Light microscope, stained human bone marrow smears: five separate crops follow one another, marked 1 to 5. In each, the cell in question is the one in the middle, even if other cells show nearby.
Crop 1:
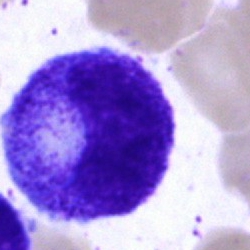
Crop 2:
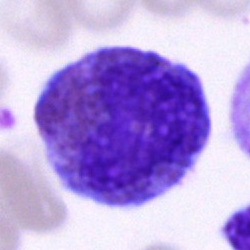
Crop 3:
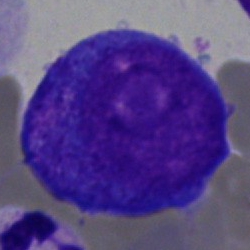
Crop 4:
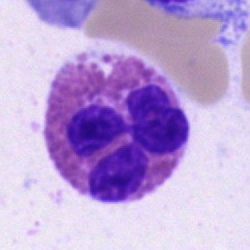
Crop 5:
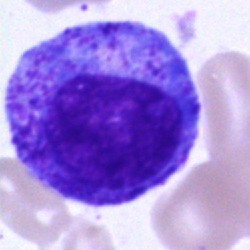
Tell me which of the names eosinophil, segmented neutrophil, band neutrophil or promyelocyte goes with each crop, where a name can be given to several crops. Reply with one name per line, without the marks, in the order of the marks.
promyelocyte
eosinophil
promyelocyte
eosinophil
promyelocyte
